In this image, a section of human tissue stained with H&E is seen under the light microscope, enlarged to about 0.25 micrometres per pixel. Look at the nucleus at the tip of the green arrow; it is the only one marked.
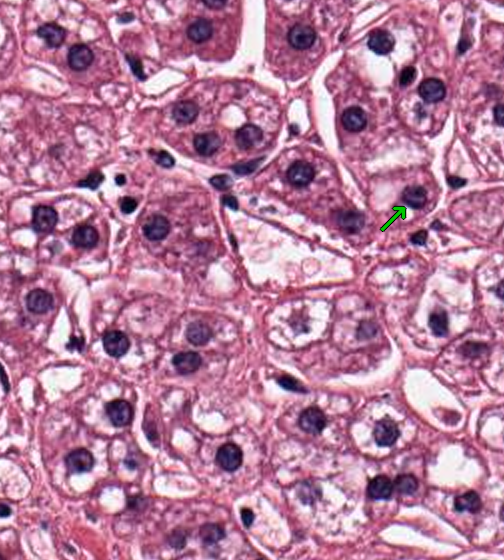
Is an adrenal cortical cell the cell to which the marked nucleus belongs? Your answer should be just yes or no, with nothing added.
yes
